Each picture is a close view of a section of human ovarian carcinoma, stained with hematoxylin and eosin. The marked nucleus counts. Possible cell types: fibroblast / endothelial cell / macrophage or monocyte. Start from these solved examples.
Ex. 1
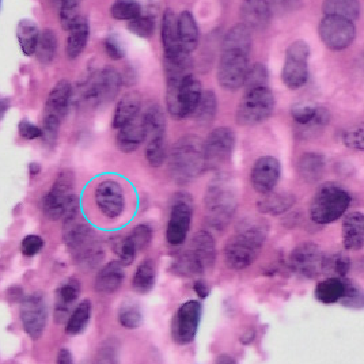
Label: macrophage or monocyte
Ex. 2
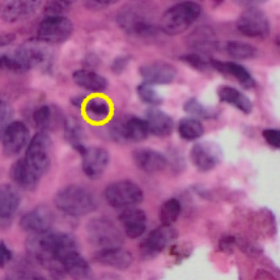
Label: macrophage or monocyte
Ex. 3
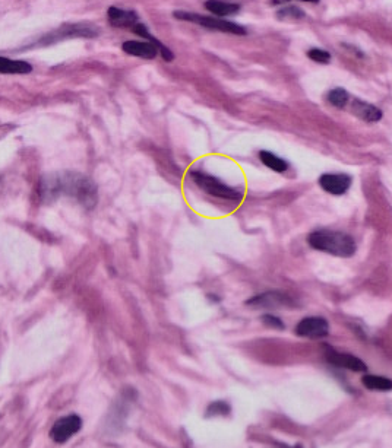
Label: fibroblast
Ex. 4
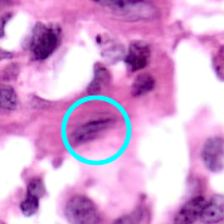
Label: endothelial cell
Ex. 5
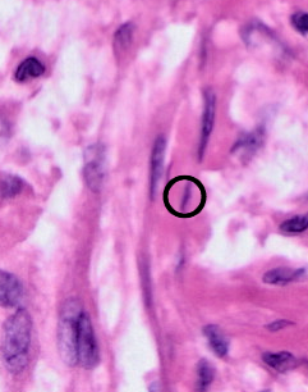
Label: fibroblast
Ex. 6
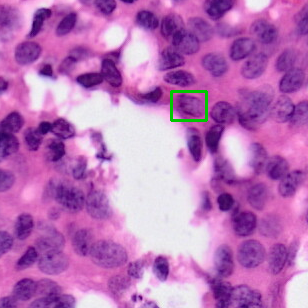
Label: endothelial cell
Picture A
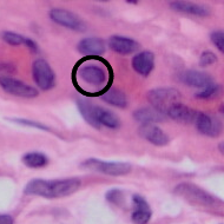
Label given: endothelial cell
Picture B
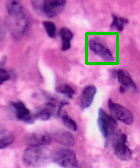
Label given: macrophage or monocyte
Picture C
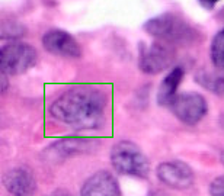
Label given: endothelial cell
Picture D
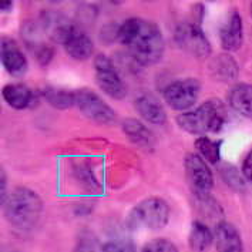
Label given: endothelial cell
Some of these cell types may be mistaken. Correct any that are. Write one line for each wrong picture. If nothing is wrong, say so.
None of the labels needs changing.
